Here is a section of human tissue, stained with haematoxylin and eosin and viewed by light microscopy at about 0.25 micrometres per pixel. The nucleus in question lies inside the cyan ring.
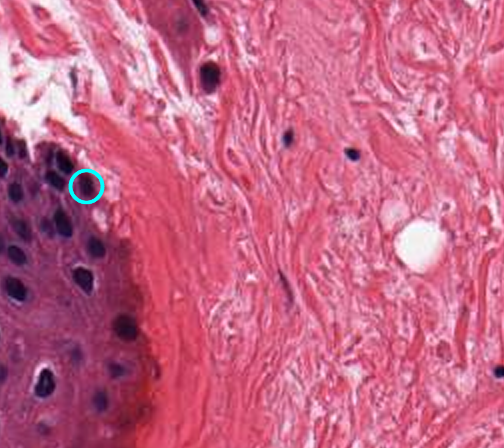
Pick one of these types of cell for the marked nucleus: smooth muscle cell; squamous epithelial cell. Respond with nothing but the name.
squamous epithelial cell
